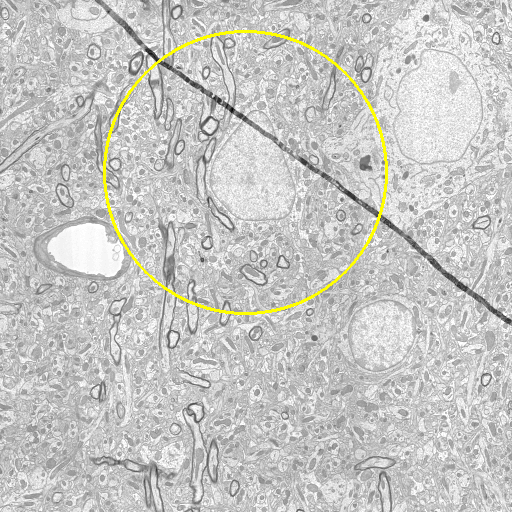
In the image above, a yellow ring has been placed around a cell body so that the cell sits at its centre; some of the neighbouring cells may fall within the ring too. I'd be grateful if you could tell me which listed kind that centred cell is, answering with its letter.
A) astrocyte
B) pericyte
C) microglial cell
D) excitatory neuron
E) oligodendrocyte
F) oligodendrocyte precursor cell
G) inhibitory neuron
A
